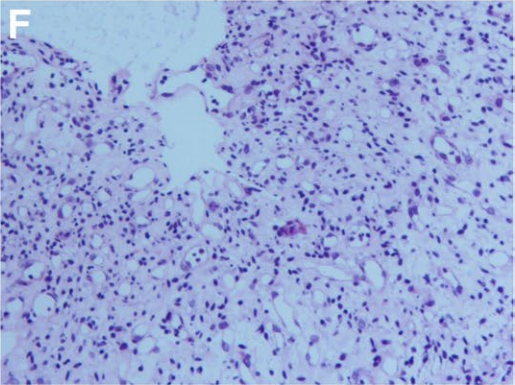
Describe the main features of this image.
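No surface epithelium or crypts are present. The stroma is loose and pale pink, with wide gaps between the cells, in keeping with edema. Scattered throughout are many spindle-shaped and oval purple nuclei belonging to fibroblast-like cells and inflammatory cells. Numerous small, thin-walled, mostly empty vascular spaces lie close together across the field, reflecting proliferating capillaries. A large clear, pale space opens at the top of the field. The overall appearance is that of loose, vascular, cellular repair tissue.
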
